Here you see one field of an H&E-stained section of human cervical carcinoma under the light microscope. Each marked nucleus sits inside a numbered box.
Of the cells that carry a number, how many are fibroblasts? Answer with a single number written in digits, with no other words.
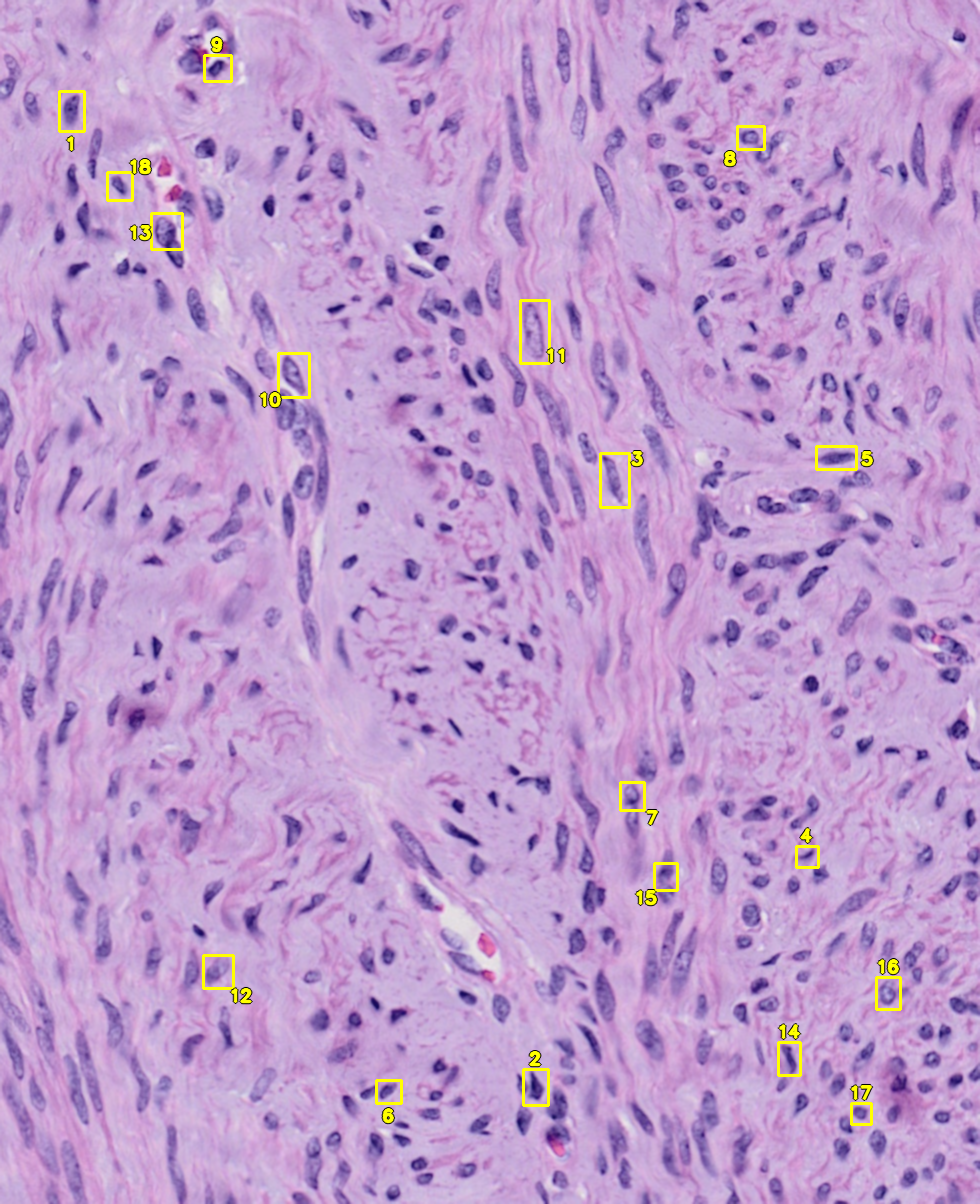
5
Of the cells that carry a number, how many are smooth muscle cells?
10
